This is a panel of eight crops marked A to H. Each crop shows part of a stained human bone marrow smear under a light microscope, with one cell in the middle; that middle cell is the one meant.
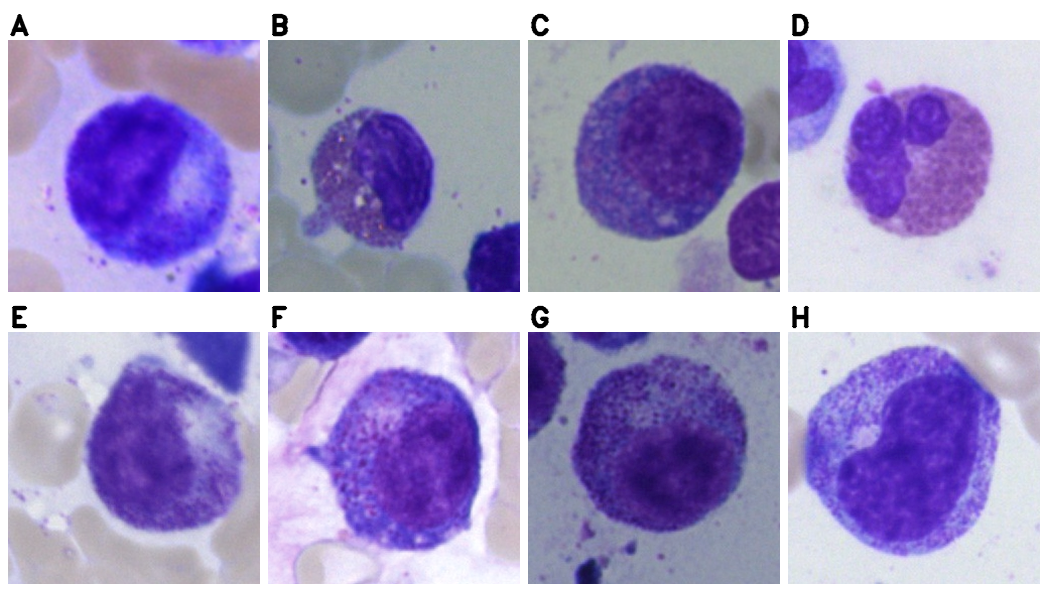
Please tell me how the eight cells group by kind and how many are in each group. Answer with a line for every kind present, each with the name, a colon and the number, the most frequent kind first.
promyelocyte: 6
eosinophil: 2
